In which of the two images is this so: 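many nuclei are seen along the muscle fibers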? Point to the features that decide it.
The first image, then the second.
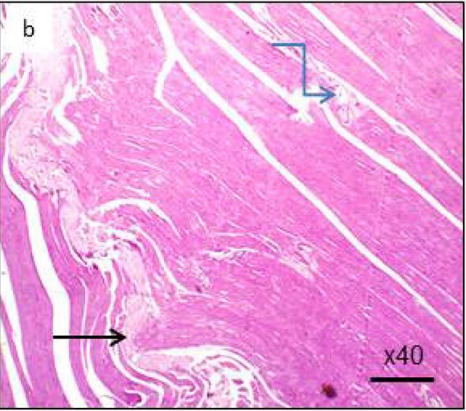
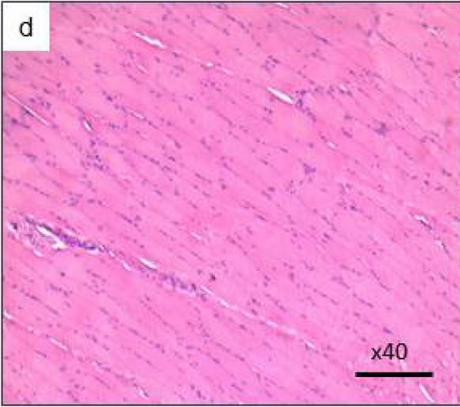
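The second image. First image: long pink fibers with few visible nuclei. Second image: numerous purple nuclei scattered along the fibers.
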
